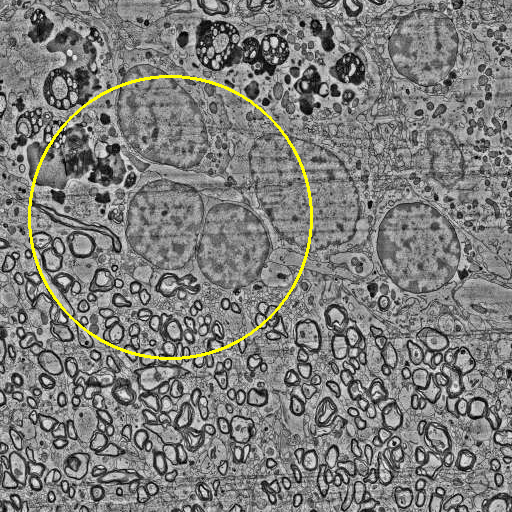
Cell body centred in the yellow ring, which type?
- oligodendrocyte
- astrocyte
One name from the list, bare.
oligodendrocyte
